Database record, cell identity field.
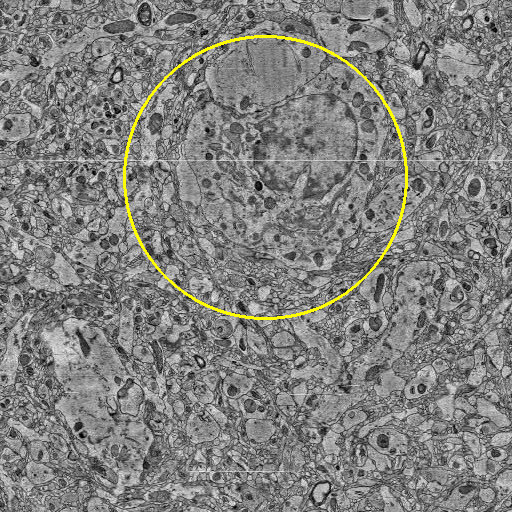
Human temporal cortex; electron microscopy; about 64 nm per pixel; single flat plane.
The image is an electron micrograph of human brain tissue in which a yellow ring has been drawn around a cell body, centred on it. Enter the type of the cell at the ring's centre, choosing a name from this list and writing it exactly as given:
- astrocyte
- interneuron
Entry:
interneuron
